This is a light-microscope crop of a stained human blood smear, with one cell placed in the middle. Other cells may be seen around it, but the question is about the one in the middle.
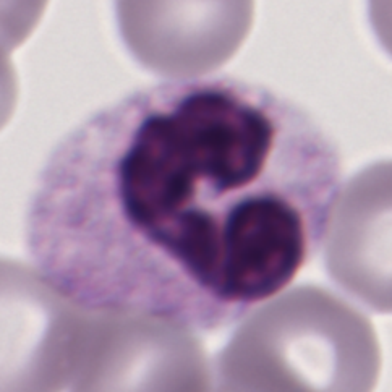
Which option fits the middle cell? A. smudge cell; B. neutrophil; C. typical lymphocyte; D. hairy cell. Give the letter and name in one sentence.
Option B holds up: the cell in the middle is a neutrophil.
